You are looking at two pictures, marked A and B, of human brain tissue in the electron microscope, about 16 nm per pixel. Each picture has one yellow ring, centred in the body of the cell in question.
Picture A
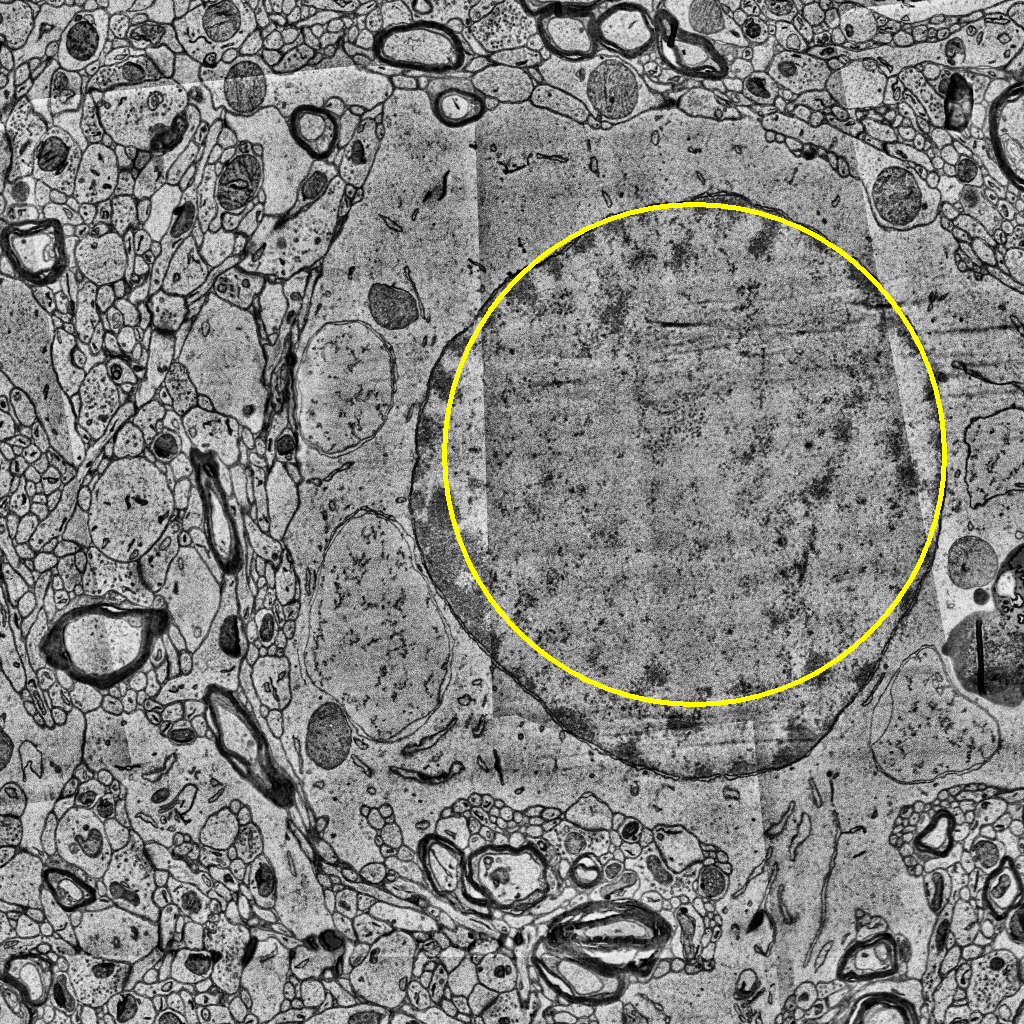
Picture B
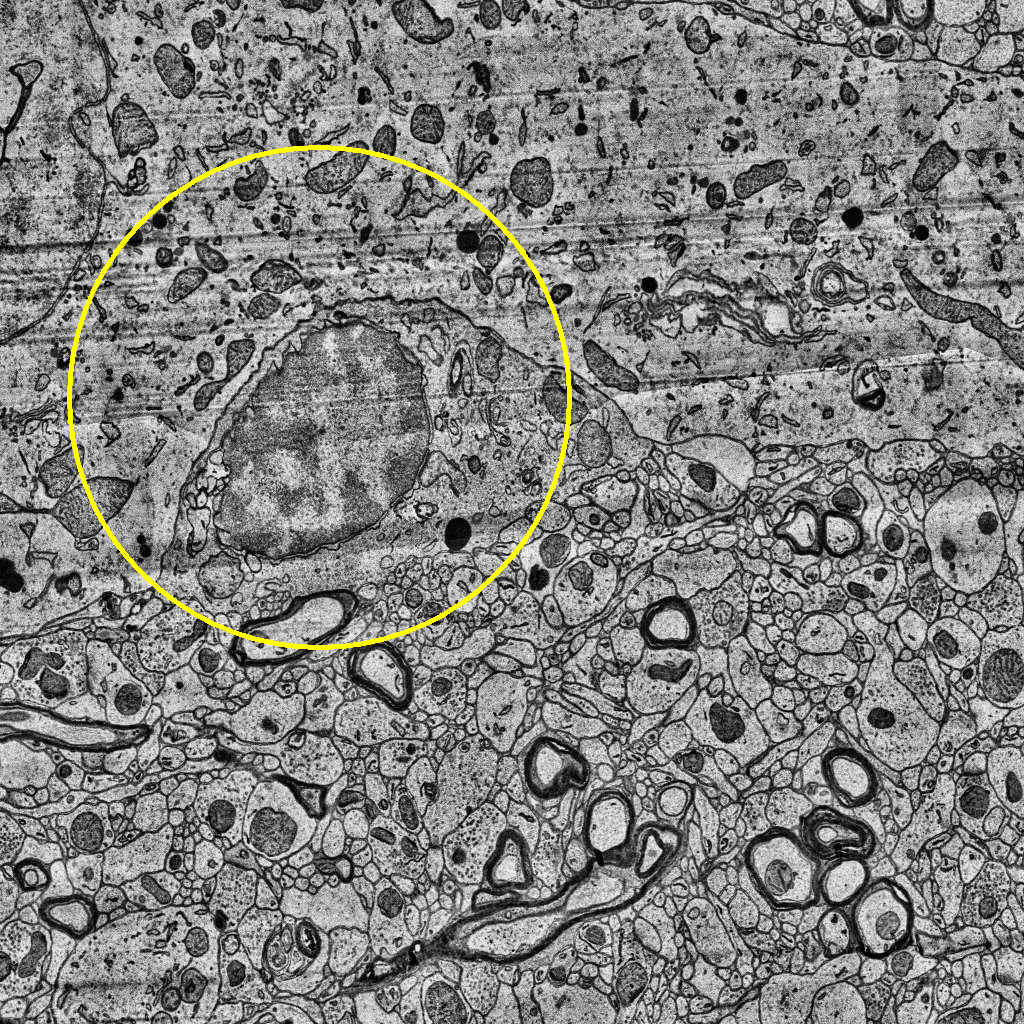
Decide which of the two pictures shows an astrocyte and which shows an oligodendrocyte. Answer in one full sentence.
Picture A shows an astrocyte and picture B shows an oligodendrocyte.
